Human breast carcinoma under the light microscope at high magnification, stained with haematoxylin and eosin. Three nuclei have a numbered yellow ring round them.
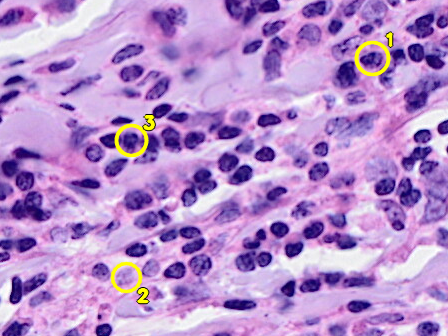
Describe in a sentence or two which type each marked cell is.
Cell 1 is a lymphocyte, cell 2 is a macrophage, monocyte or dendritic cell and cell 3 is a lymphocyte.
